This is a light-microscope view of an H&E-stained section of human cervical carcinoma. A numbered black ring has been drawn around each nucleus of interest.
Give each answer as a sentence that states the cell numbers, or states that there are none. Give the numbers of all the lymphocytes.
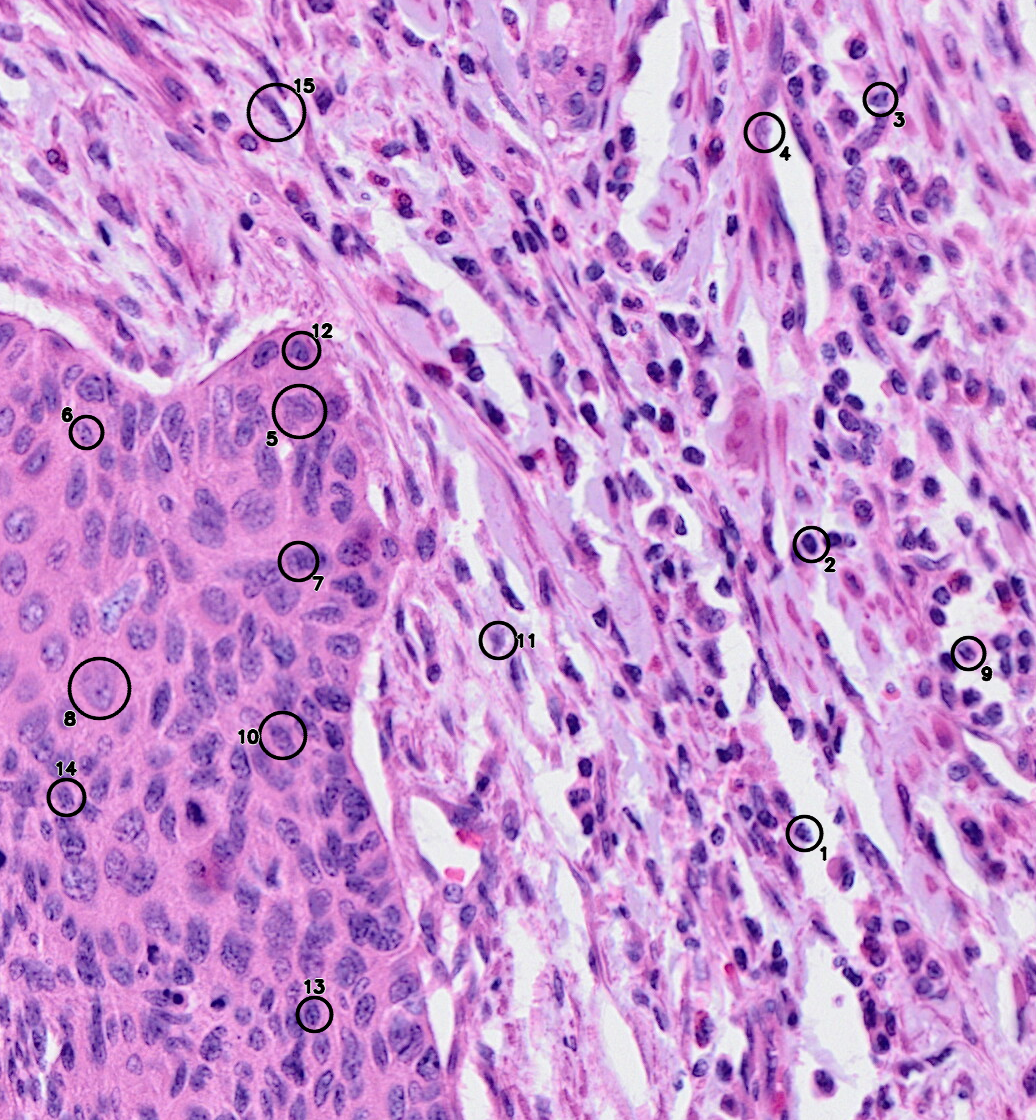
The cells with labels 1, 2, 3 and 9 are lymphocytes.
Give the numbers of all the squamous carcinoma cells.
The cells numbered 5, 6, 7, 8, 10, 12, 13 and 14 are identified as squamous carcinoma cells.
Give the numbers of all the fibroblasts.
The cells that have been numbered 11 and 15 are fibroblasts.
